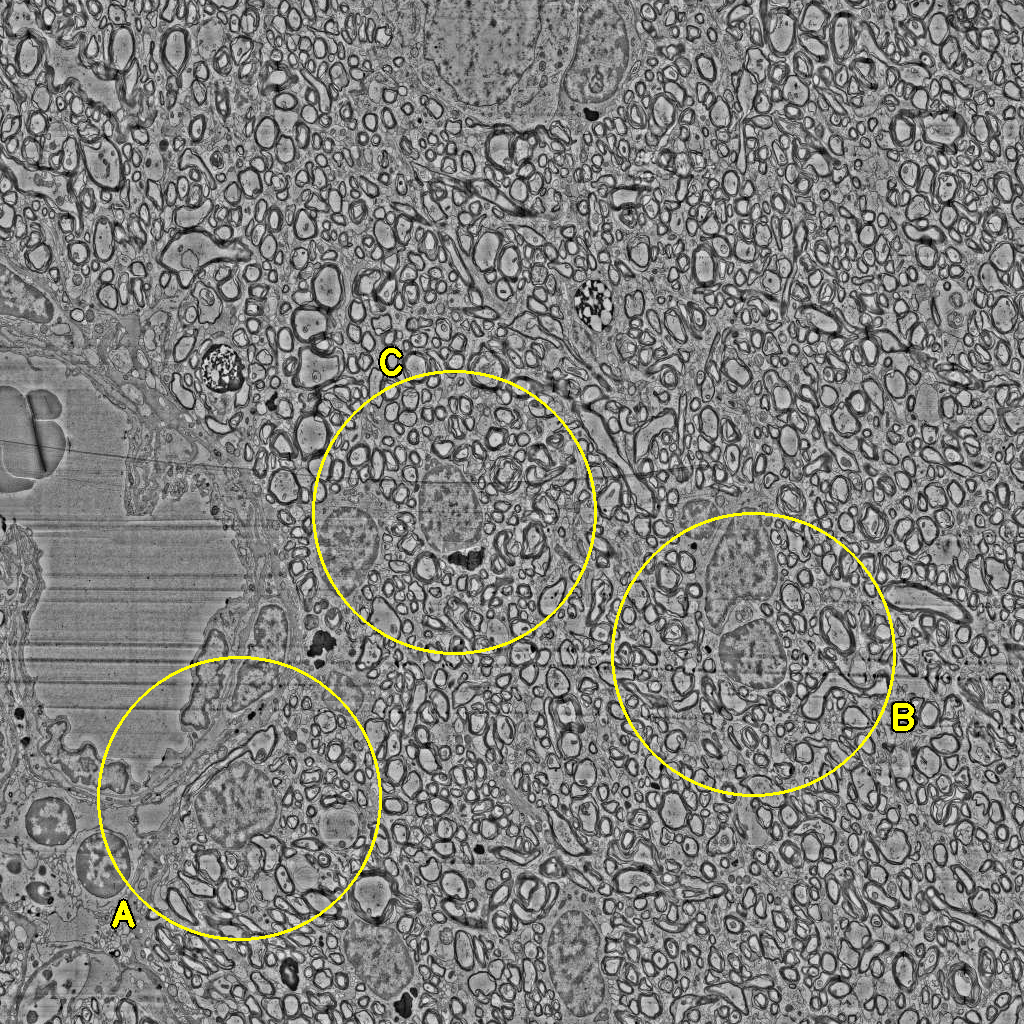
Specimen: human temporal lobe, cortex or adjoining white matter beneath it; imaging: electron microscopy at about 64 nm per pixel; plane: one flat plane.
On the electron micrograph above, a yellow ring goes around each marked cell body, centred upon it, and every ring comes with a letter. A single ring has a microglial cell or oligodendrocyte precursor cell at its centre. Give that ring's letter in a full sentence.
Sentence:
The ring holding the cell asked for at its centre bears the letter B.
